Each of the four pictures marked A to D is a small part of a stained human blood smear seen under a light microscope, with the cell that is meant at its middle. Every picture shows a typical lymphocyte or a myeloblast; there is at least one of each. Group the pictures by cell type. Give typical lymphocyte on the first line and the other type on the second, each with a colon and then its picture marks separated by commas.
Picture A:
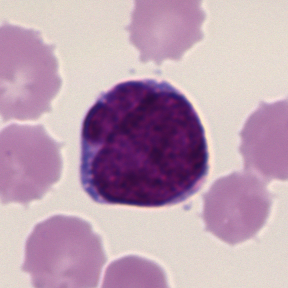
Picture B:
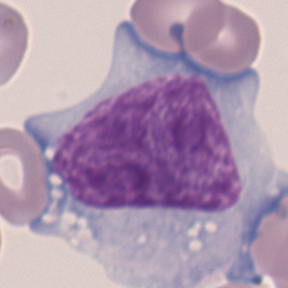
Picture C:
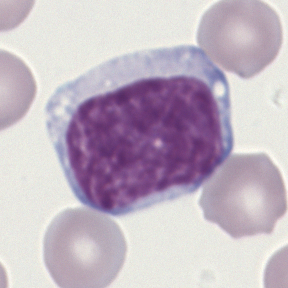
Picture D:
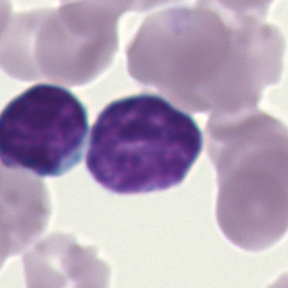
typical lymphocyte: D
myeloblast: A, B, C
